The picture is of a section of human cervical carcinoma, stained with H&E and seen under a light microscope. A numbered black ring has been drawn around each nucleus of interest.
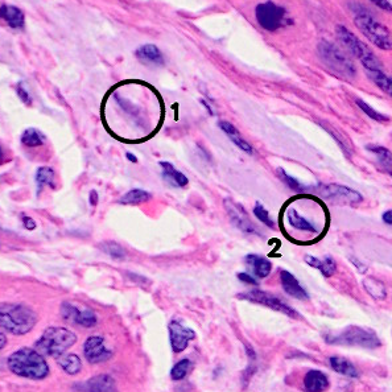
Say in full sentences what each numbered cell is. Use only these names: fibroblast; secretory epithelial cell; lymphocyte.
Cell 1 is a fibroblast and cell 2 is a lymphocyte.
